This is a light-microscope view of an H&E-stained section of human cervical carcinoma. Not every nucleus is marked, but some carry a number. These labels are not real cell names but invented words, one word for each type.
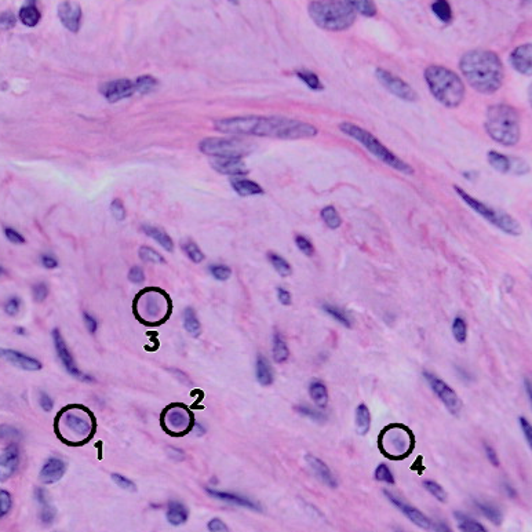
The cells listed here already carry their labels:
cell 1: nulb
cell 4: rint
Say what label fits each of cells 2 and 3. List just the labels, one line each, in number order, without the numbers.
nulb
nulb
